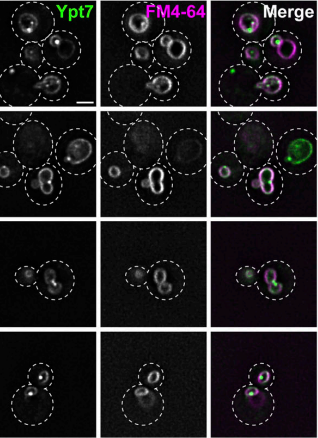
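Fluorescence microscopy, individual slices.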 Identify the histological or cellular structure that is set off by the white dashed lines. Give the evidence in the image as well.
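Yeast cell boundaries. Dashed lines form small round to oval outlines.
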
